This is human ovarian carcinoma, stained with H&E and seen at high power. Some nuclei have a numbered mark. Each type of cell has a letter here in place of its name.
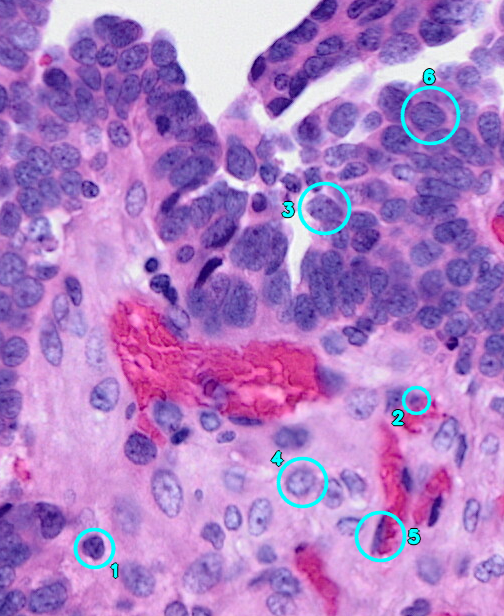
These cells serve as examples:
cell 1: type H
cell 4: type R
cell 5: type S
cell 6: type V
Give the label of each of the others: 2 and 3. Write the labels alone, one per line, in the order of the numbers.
type S
type V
